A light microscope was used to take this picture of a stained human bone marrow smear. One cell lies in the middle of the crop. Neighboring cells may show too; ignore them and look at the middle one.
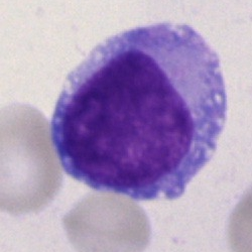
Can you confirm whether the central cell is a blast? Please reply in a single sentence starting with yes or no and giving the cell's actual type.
Yes, the central cell here is a blast.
